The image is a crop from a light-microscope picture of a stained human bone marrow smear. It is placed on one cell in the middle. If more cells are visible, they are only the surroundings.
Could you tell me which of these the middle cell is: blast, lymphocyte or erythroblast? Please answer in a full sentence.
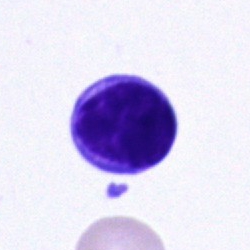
The cell in the middle of this crop is a lymphocyte.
